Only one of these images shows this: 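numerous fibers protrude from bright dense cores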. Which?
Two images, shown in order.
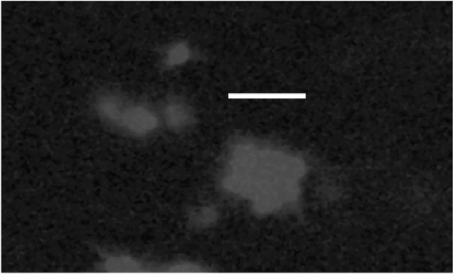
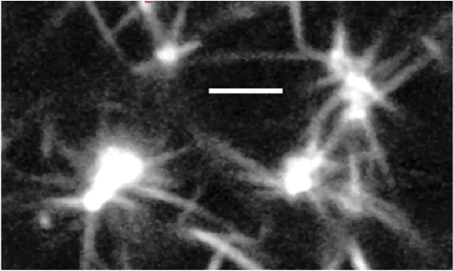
The second image.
